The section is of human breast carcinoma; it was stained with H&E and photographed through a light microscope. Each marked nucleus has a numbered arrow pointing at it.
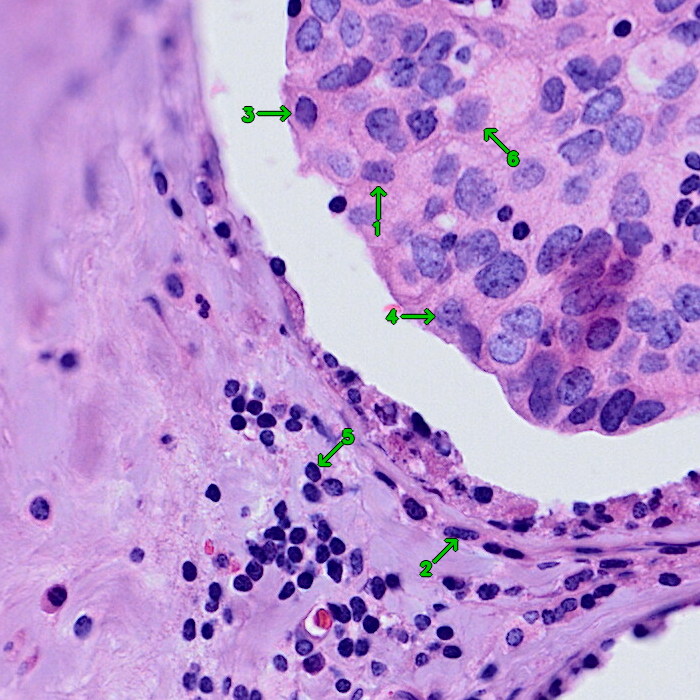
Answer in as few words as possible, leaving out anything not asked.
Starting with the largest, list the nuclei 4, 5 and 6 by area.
6, 4, 5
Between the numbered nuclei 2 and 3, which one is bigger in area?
3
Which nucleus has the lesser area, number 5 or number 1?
5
